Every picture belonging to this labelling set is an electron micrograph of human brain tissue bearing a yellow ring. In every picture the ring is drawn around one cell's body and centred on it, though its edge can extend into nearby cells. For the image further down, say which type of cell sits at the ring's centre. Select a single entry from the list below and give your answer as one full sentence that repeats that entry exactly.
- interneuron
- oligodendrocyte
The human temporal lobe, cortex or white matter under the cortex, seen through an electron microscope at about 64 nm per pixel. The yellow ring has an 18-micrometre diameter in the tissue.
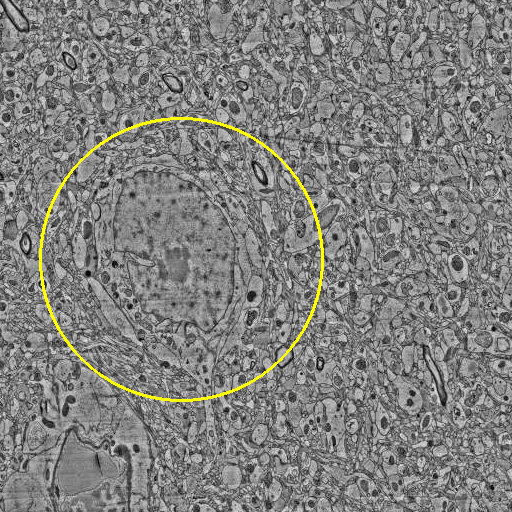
In the picture, an interneuron is the cell at the centre of the yellow ring.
